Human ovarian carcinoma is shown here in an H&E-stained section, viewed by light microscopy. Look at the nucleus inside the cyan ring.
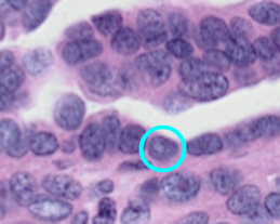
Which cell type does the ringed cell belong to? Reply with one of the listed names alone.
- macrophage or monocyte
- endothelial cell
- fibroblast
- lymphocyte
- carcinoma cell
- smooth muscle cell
carcinoma cell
